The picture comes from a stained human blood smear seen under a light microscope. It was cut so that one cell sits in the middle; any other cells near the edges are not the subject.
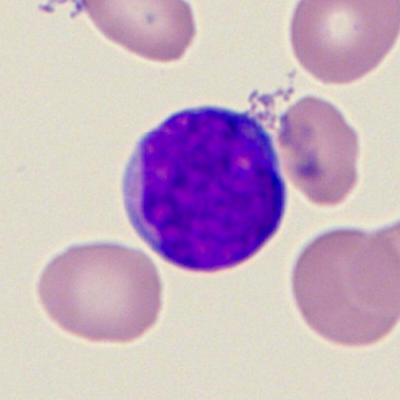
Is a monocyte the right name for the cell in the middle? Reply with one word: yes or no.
no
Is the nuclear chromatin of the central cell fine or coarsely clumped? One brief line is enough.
The chromatin in this nucleus is coarsely clumped.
